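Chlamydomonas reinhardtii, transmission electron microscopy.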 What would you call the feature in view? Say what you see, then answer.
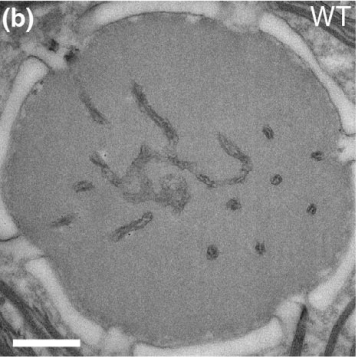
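A large round body with a homogeneous grey granular matrix fills the centre. Thin membrane tubules cross the matrix. Pale plate-like profiles rim the round body.
Answer: pyrenoid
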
